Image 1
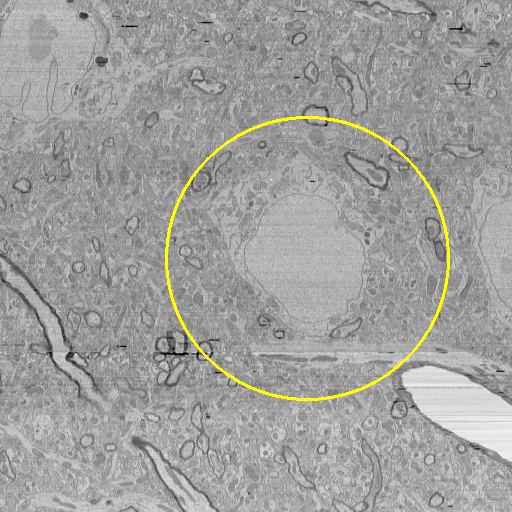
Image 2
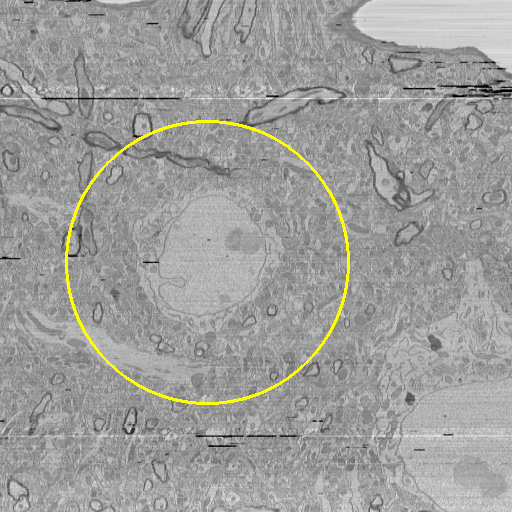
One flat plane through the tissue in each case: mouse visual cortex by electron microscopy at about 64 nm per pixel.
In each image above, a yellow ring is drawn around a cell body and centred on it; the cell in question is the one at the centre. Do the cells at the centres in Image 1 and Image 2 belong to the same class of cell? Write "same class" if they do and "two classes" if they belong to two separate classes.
same class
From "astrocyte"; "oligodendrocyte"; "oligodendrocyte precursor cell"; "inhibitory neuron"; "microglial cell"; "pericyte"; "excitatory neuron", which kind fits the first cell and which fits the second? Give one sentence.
Both pictures show an excitatory neuron at the centre of the ring.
